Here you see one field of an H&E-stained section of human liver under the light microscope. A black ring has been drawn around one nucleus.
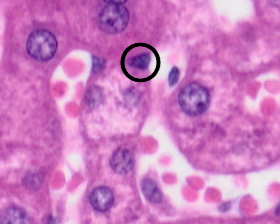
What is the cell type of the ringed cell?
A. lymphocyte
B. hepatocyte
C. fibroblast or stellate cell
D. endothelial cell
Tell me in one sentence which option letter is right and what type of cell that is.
Of the options offered, C is correct, as the ringed cell is a fibroblast or stellate cell.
